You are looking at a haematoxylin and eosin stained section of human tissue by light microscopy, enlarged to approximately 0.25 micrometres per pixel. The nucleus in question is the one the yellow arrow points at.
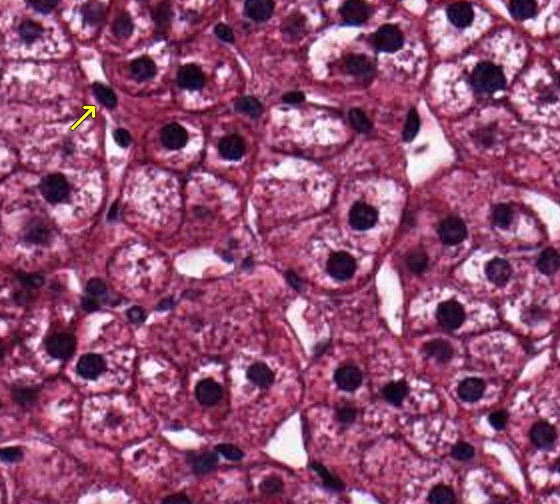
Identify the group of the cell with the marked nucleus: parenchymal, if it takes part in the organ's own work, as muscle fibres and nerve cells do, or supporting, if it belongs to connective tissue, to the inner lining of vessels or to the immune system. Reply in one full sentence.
The marked nucleus is the nucleus of a supporting cell in this section.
